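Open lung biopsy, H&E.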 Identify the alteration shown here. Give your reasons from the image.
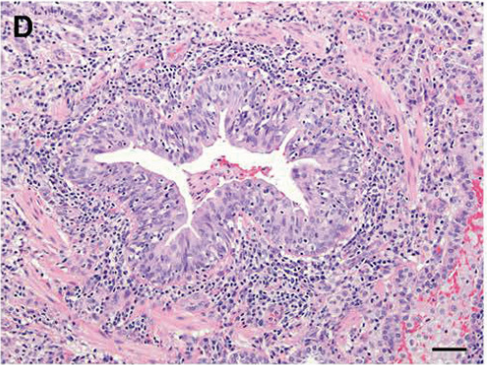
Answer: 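Chronic bronchiolitis. A small airway with folded epithelium and a star-shaped lumen. Dense small round lymphocytes within and around the airway lining. Pink bundles of smooth muscle around the airway.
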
